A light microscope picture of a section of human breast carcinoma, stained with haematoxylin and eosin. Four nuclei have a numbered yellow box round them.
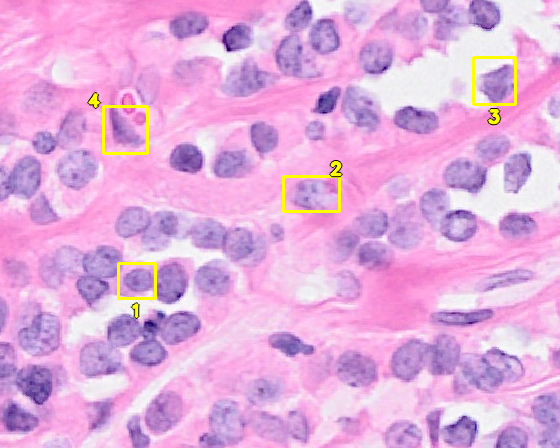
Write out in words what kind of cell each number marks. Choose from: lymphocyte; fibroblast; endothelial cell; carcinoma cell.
Cell 1 is a carcinoma cell, cell 2 is an endothelial cell, cell 3 is a carcinoma cell and cell 4 is an endothelial cell.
